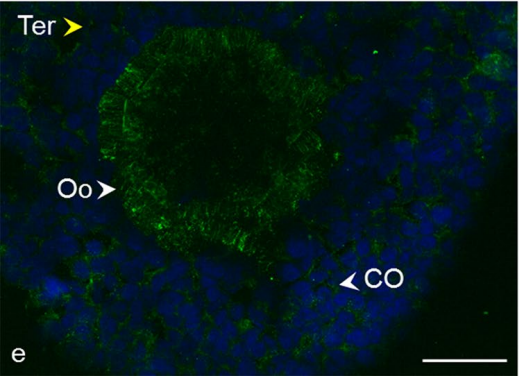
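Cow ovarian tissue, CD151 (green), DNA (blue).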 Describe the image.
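The oocyte appears as a big rounded profile with a dark interior. A broad rim along its edge carries a granular, somewhat radially streaked green label. Around it lie many crowded blue nuclei of the cumulus cells. They are small, round to oval and closely packed, with little cytoplasm visible between them. Faint green dots are scattered among these surrounding cells.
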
